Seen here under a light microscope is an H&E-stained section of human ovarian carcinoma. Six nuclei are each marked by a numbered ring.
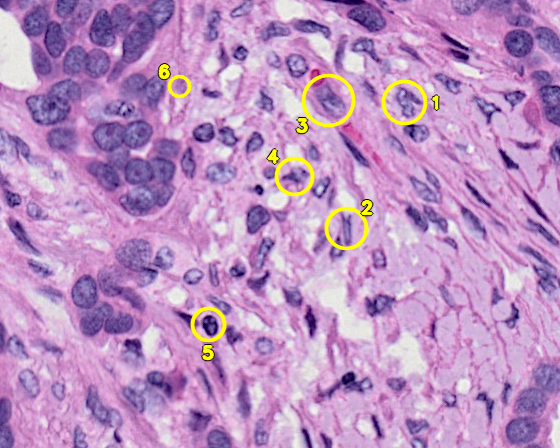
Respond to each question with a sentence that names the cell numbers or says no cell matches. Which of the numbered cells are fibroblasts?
Into the category of fibroblasts fall the cells numbered 1, 2, 4 and 6.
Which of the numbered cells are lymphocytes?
Of the numbered cells, only cell 5 is a lymphocyte.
